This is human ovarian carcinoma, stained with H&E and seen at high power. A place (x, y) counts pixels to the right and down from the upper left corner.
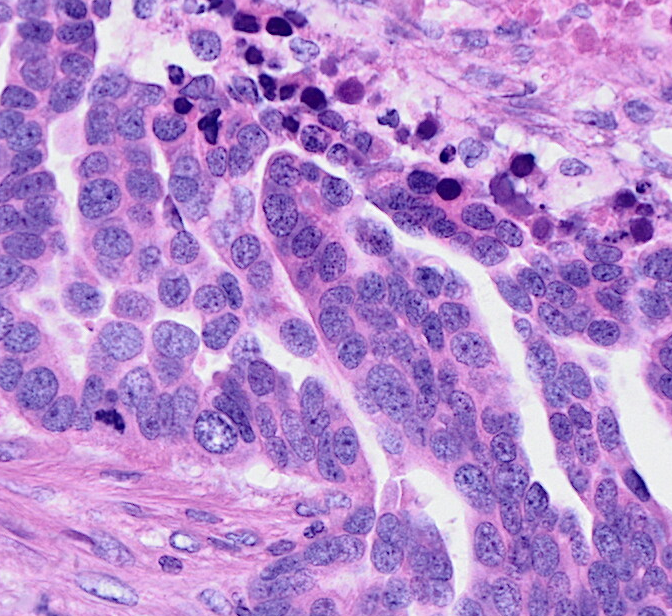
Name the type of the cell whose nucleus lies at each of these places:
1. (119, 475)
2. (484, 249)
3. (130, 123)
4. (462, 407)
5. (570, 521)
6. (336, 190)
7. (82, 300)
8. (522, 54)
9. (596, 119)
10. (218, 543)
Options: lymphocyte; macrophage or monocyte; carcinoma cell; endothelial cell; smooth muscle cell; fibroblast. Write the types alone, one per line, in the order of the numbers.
fibroblast
carcinoma cell
carcinoma cell
carcinoma cell
carcinoma cell
carcinoma cell
carcinoma cell
fibroblast
fibroblast
fibroblast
